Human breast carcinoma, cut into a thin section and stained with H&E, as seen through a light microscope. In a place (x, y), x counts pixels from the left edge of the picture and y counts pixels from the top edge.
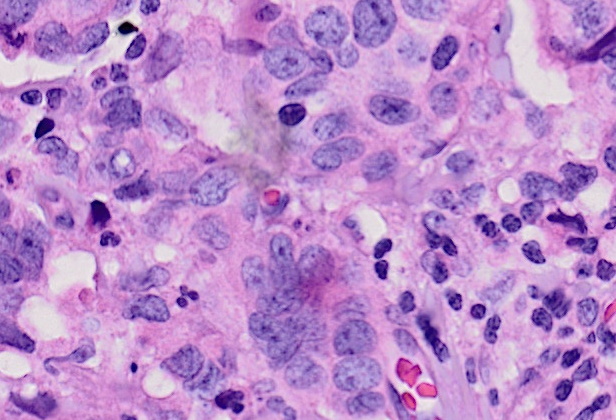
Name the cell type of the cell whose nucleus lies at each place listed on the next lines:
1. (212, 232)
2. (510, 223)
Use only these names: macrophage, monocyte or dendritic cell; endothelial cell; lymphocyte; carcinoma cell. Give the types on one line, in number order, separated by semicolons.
carcinoma cell; lymphocyte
